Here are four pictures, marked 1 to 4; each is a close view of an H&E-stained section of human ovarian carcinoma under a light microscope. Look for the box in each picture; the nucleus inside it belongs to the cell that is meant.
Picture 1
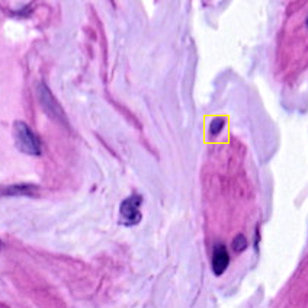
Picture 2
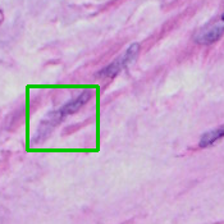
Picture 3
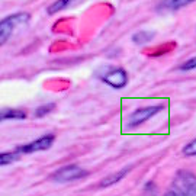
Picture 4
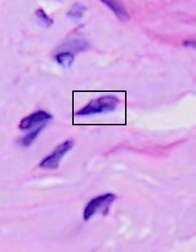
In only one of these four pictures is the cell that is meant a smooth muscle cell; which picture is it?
1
